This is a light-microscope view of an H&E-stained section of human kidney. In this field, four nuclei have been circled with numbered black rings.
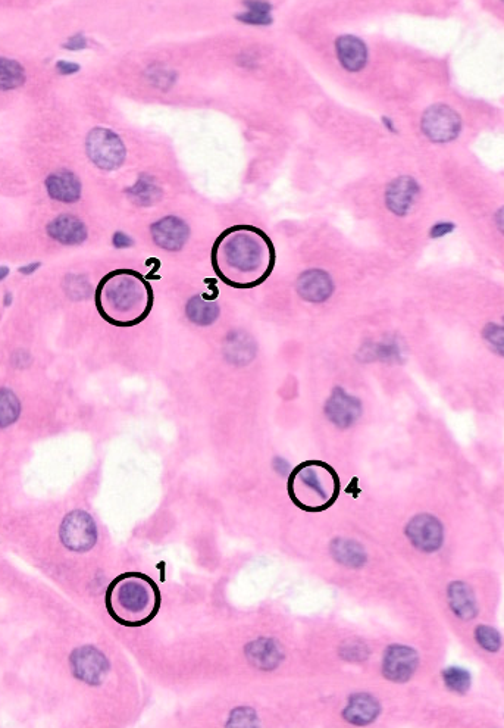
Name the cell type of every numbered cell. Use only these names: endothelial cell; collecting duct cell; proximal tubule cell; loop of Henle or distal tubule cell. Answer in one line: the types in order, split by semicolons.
proximal tubule cell; proximal tubule cell; proximal tubule cell; endothelial cell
